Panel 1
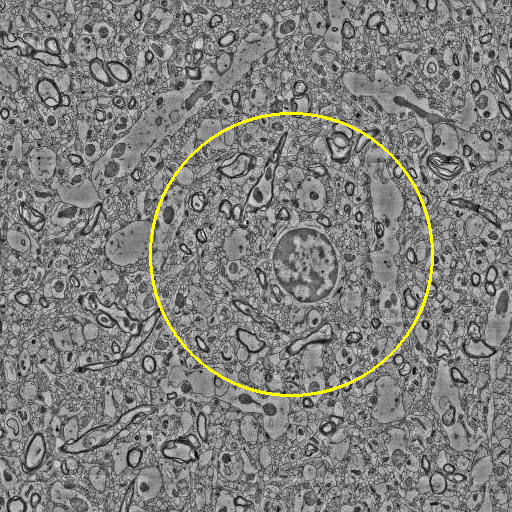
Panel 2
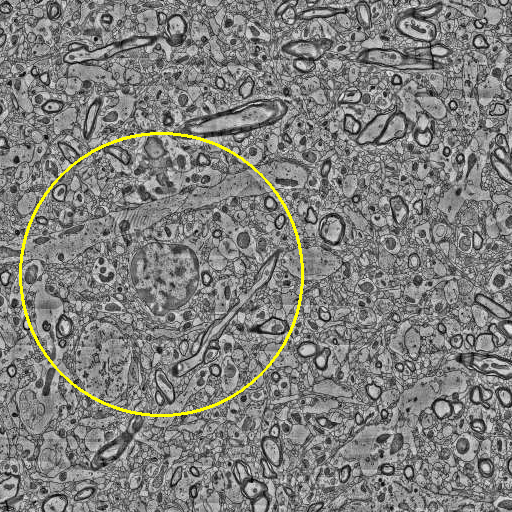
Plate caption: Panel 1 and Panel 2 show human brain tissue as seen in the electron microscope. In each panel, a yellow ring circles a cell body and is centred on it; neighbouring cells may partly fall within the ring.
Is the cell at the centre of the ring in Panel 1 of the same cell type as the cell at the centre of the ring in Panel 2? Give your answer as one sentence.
Yes, the two cells are of the same type.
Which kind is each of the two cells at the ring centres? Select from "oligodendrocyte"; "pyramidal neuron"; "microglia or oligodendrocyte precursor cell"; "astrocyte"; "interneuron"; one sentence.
Each of the two rings is centred on a microglial cell or oligodendrocyte precursor cell.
